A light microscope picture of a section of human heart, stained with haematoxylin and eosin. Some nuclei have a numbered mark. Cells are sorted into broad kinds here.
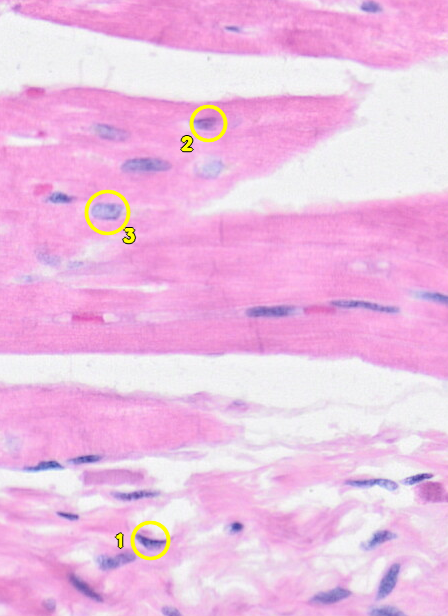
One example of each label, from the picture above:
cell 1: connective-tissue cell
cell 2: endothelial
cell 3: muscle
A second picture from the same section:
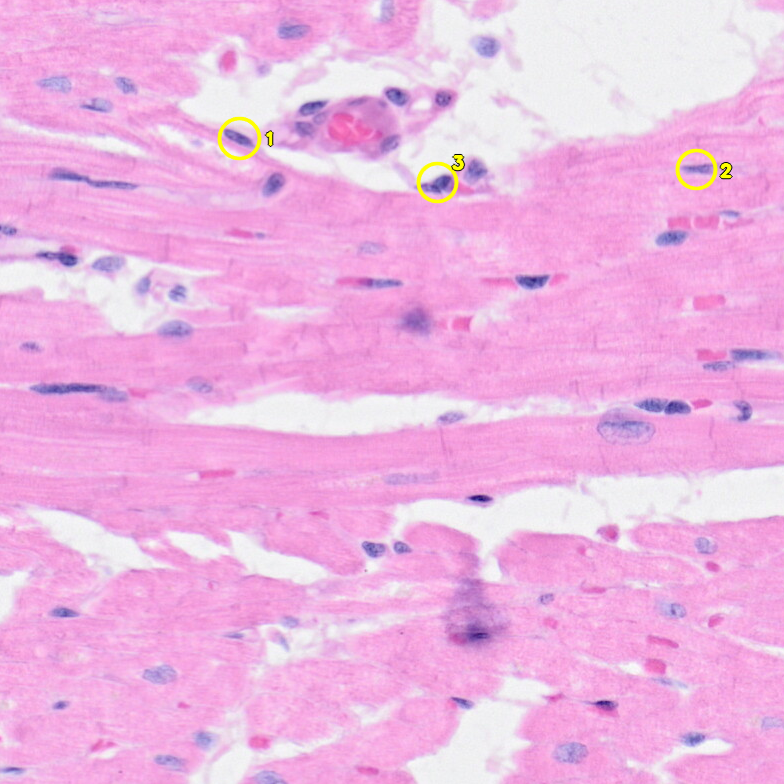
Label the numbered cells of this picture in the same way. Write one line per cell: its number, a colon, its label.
1: connective-tissue cell
2: endothelial
3: connective-tissue cell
